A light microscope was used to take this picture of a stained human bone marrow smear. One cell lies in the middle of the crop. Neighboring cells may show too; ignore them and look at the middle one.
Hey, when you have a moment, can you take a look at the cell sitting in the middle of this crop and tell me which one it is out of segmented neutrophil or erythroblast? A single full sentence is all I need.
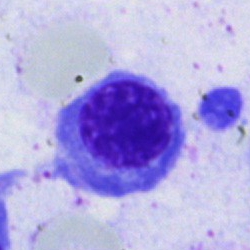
This crop's central cell is an erythroblast.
